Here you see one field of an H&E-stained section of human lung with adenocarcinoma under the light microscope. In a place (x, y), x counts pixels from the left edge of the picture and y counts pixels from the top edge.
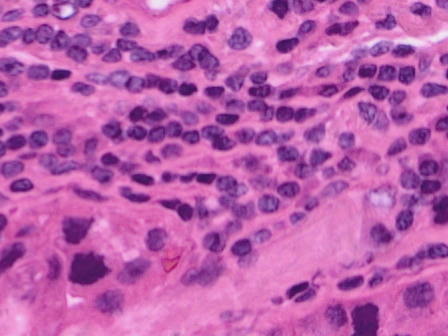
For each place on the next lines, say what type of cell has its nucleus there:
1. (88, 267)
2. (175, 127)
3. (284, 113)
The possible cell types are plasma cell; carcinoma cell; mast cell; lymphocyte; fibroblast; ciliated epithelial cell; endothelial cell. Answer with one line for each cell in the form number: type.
1: carcinoma cell
2: lymphocyte
3: lymphocyte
